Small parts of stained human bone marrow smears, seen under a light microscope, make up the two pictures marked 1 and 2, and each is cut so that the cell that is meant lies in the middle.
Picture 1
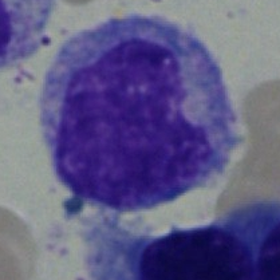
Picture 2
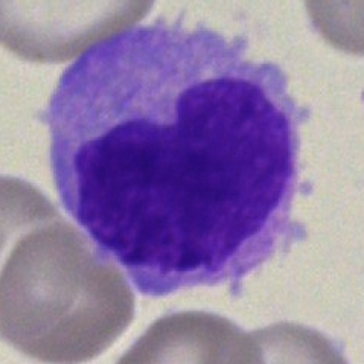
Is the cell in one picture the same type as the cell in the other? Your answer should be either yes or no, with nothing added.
yes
